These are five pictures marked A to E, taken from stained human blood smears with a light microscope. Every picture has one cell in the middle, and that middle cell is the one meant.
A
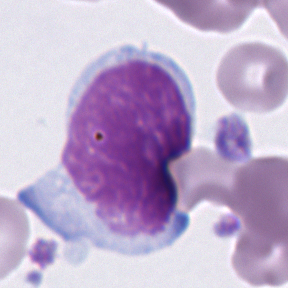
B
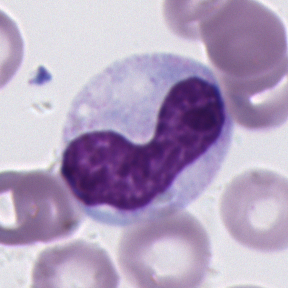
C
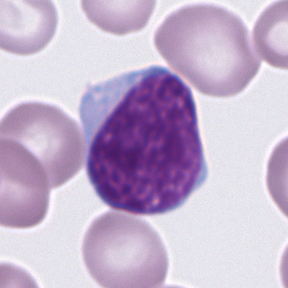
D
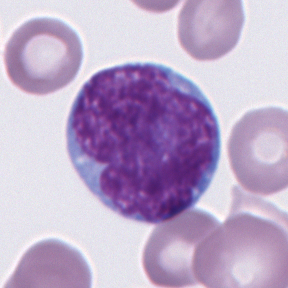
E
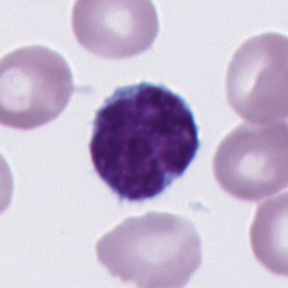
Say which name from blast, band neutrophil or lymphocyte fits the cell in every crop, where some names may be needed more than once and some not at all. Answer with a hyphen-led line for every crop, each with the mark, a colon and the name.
- A: lymphocyte
- B: band neutrophil
- C: lymphocyte
- D: blast
- E: lymphocyte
